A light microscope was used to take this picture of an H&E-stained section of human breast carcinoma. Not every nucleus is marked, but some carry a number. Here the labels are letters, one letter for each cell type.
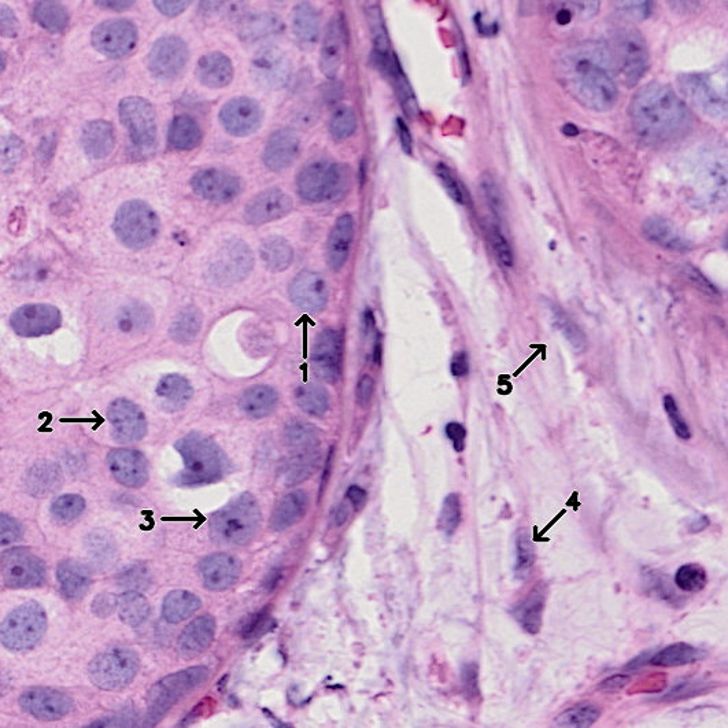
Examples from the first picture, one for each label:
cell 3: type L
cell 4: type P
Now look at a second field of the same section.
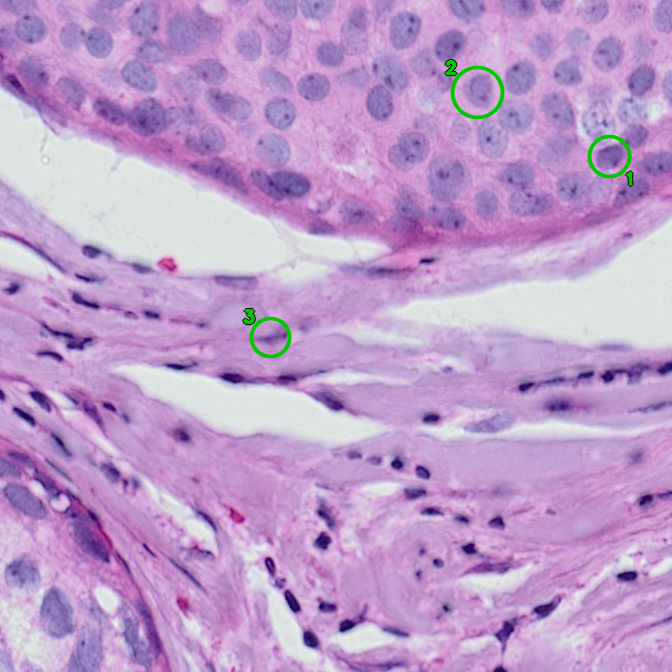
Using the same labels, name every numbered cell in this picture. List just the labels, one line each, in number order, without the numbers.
type L
type L
type P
